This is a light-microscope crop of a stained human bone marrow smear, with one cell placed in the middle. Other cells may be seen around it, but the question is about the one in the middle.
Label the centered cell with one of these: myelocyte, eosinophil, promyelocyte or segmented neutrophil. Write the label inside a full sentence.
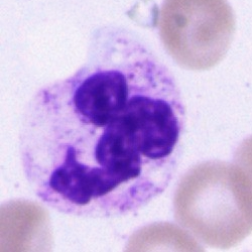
The cell positioned in the middle of the field is a segmented neutrophil.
